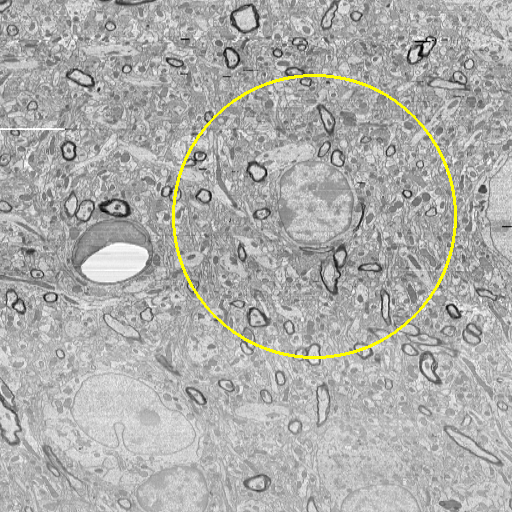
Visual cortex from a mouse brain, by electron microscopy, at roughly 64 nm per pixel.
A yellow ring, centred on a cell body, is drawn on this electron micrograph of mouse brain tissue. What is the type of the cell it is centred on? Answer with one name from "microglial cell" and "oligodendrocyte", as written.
oligodendrocyte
